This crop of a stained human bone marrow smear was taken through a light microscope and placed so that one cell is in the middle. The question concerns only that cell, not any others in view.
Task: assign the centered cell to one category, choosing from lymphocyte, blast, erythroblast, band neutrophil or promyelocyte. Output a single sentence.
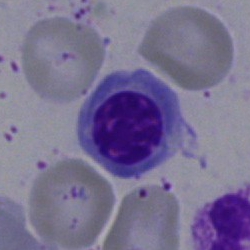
The central cell shown in this smear crop is an erythroblast.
